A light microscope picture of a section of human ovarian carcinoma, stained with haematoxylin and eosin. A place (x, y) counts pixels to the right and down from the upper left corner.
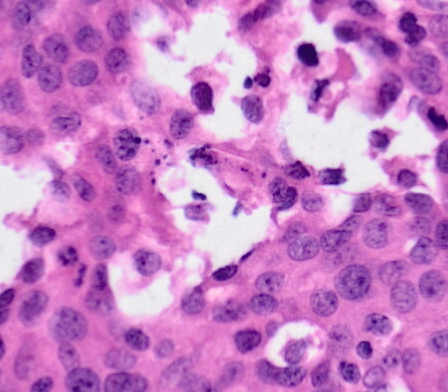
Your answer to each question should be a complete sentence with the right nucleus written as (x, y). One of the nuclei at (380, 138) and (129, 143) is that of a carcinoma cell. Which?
Heads up, the nucleus at (380, 138) is the one that belongs to a carcinoma cell.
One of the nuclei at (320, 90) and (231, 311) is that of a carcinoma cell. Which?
The nucleus at (231, 311) belongs to a carcinoma cell, which distinguishes it from the other nucleus.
